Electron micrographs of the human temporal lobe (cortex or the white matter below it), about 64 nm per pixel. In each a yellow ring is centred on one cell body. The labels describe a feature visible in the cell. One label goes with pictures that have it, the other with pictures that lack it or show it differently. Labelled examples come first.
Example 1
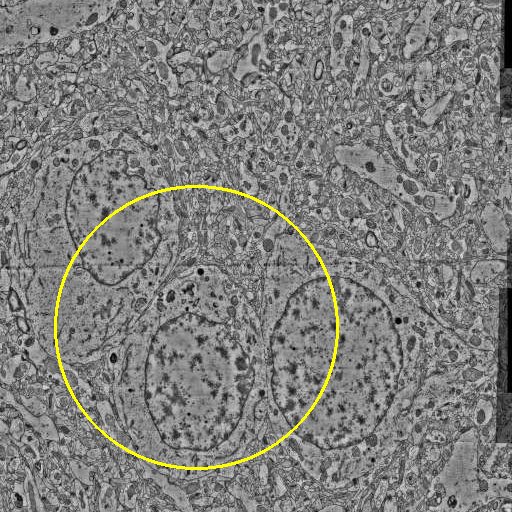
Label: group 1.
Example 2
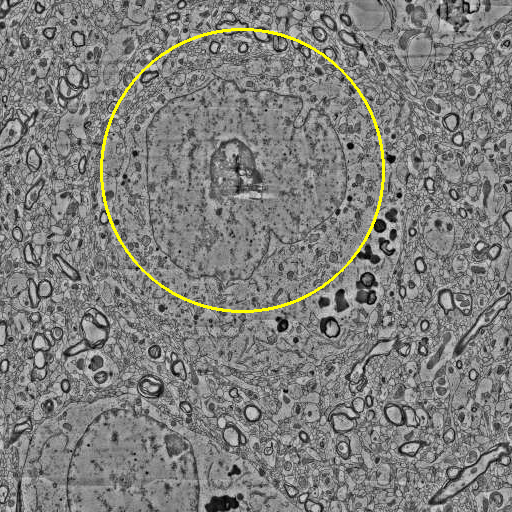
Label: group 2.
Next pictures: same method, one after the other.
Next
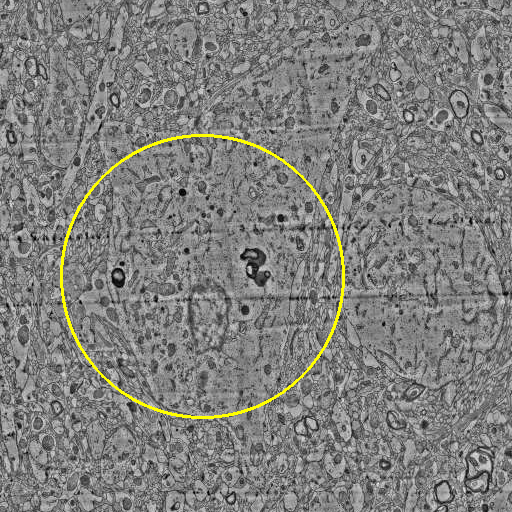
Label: group 1.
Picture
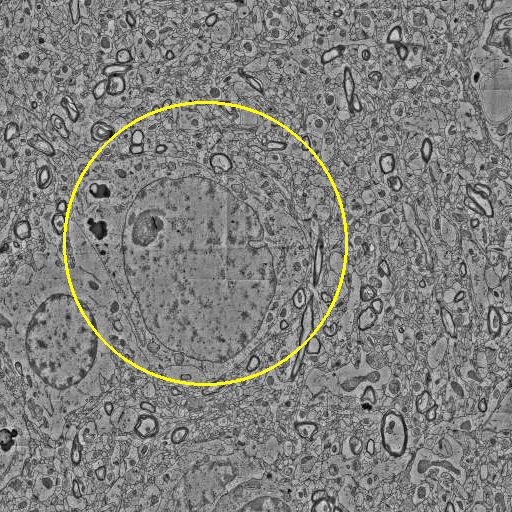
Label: group 2.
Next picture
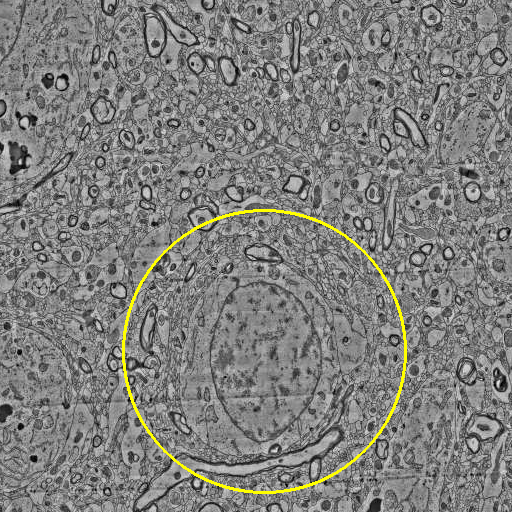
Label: group 1.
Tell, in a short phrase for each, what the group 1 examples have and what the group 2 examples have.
Seen in group 1: no nucleolus seen; seen in group 2: nucleolus seen.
